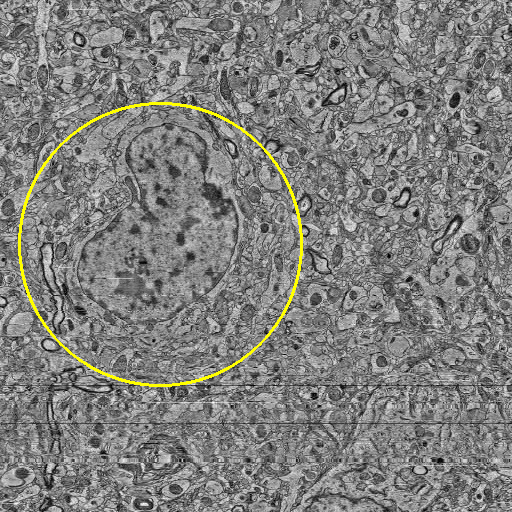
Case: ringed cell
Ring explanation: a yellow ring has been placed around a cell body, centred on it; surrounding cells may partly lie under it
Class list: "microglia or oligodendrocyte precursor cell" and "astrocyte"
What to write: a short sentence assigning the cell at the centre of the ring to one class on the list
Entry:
The cell at the ring's centre is a microglial cell or oligodendrocyte precursor cell.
